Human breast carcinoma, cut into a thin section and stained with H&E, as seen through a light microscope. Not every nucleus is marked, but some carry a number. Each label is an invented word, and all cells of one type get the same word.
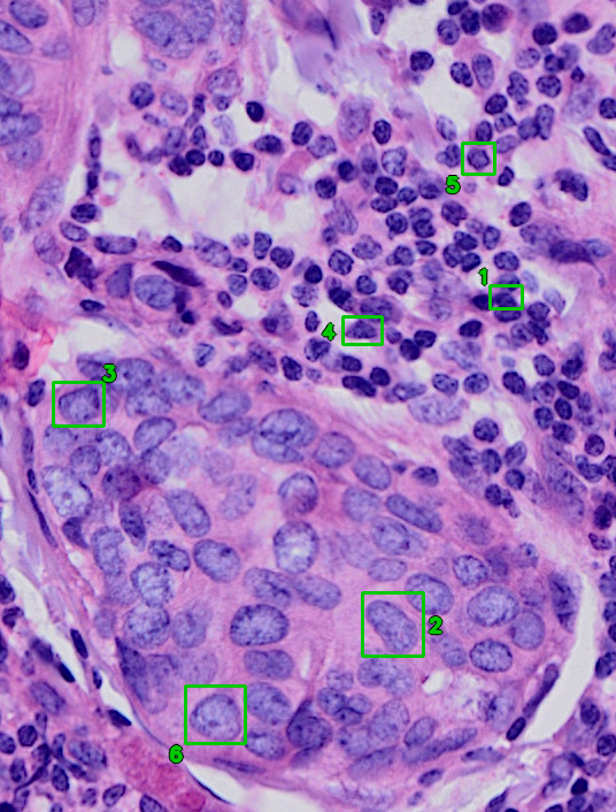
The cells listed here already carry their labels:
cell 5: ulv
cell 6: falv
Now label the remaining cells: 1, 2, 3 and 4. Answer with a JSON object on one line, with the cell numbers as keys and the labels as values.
{"1": "ulv", "2": "falv", "3": "falv", "4": "ulv"}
